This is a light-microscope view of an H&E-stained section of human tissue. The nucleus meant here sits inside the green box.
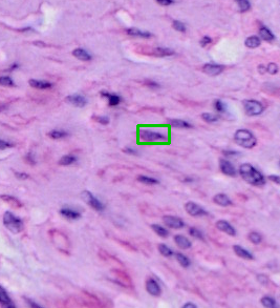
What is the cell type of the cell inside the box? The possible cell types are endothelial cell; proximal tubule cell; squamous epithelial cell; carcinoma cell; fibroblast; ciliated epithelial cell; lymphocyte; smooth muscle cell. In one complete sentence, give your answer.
In terms of identity, the cell inside the box is a smooth muscle cell.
